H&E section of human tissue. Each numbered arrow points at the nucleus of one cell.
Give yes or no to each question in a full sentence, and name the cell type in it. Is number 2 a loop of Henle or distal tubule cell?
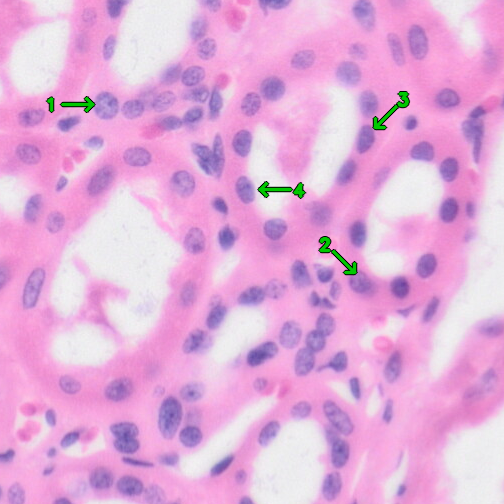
No, for cell 2, the correct identification is a collecting duct cell instead of a loop of Henle or distal tubule cell.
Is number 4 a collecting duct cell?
No, cell 4 should be read as a loop of Henle or distal tubule cell instead of a collecting duct cell.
